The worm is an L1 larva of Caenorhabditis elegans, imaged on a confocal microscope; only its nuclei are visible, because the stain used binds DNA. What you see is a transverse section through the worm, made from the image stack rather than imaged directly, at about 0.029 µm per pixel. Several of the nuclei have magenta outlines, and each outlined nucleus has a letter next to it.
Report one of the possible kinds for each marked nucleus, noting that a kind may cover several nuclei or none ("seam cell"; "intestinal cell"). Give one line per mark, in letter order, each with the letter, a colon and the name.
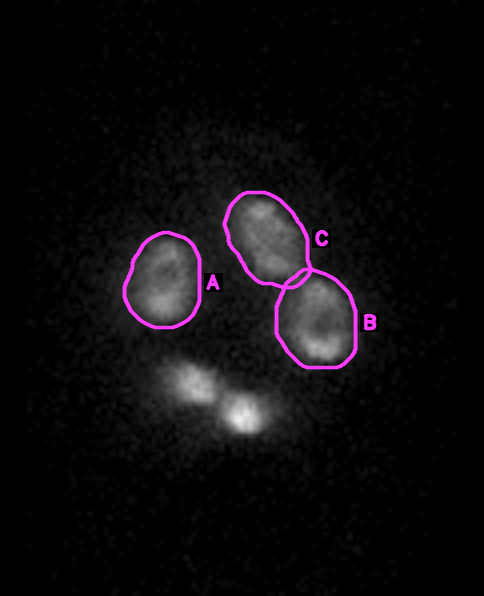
A: seam cell
B: seam cell
C: intestinal cell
